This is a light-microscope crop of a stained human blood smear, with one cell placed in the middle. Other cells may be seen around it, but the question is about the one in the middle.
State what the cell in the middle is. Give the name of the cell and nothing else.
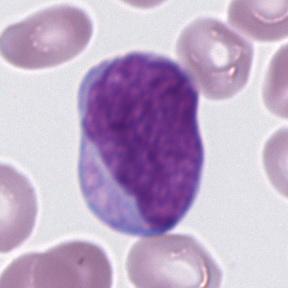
atypical promyelocyte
